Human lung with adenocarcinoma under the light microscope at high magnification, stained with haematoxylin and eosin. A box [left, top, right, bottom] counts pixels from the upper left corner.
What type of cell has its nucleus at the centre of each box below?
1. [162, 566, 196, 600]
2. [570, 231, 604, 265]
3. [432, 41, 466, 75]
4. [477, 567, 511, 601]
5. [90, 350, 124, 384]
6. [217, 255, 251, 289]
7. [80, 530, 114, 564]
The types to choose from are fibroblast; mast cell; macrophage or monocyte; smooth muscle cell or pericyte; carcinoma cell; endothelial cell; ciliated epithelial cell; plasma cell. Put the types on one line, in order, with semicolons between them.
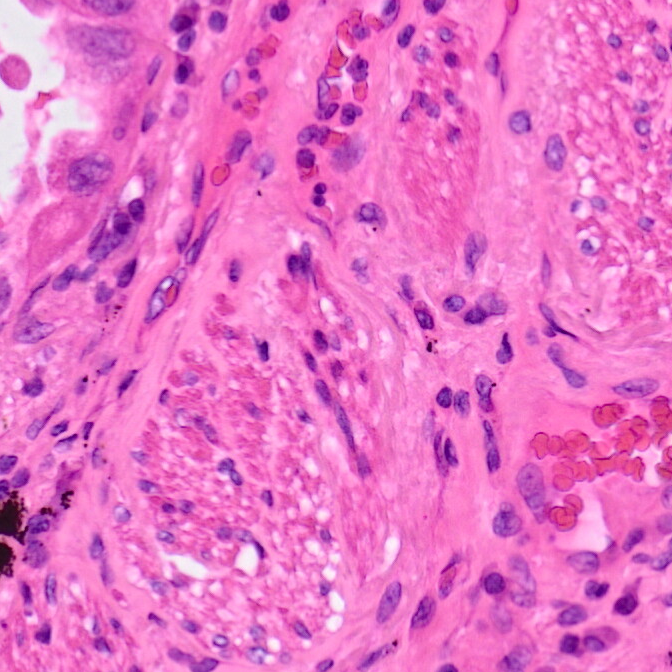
smooth muscle cell or pericyte; smooth muscle cell or pericyte; smooth muscle cell or pericyte; plasma cell; fibroblast; mast cell; mast cell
